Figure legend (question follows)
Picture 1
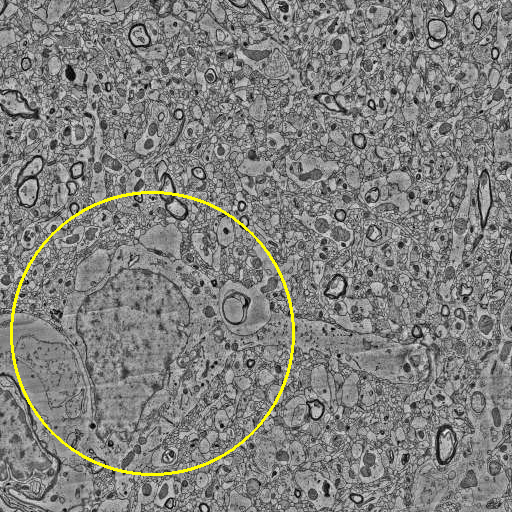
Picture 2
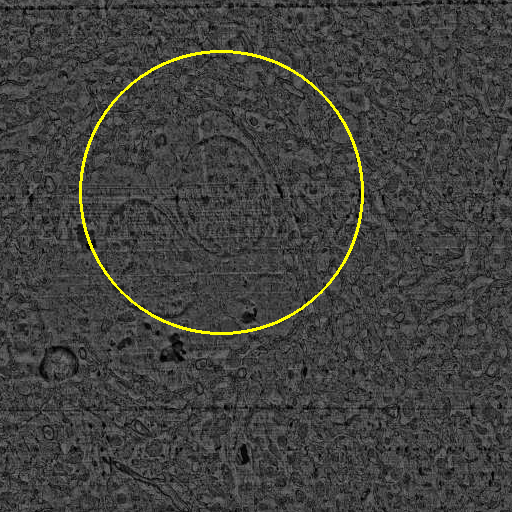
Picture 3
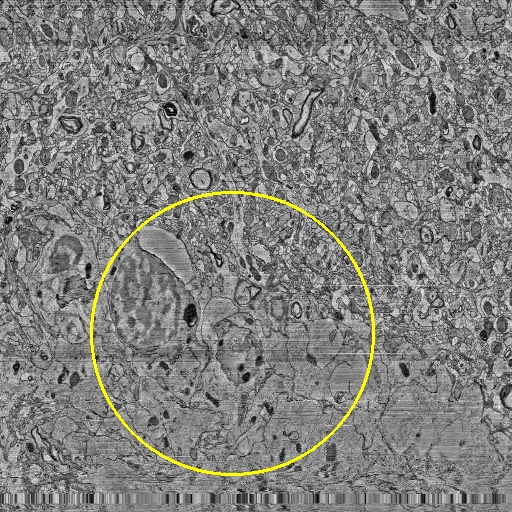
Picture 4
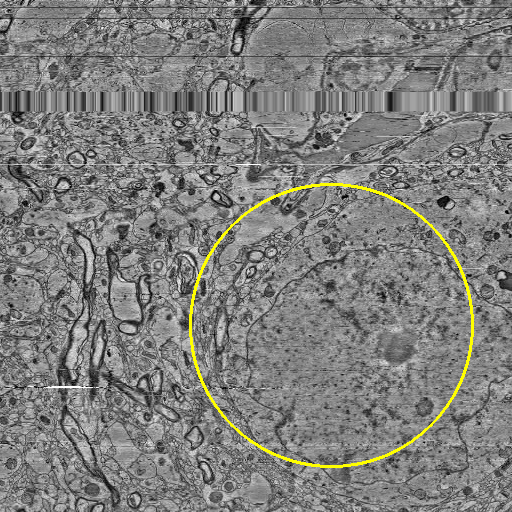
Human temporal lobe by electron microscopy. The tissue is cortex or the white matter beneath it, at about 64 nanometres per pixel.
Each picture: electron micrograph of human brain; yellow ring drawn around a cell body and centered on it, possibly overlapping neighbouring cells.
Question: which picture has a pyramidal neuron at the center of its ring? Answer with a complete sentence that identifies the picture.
Picture 4 has it at the center of its ring.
